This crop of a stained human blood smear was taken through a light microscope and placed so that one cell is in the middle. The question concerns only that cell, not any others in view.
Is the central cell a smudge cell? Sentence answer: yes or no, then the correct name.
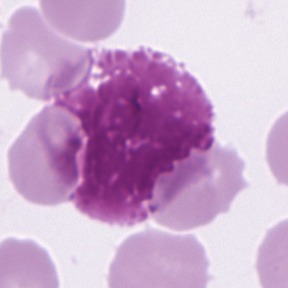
Yes, the cell found in the middle is a smudge cell.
